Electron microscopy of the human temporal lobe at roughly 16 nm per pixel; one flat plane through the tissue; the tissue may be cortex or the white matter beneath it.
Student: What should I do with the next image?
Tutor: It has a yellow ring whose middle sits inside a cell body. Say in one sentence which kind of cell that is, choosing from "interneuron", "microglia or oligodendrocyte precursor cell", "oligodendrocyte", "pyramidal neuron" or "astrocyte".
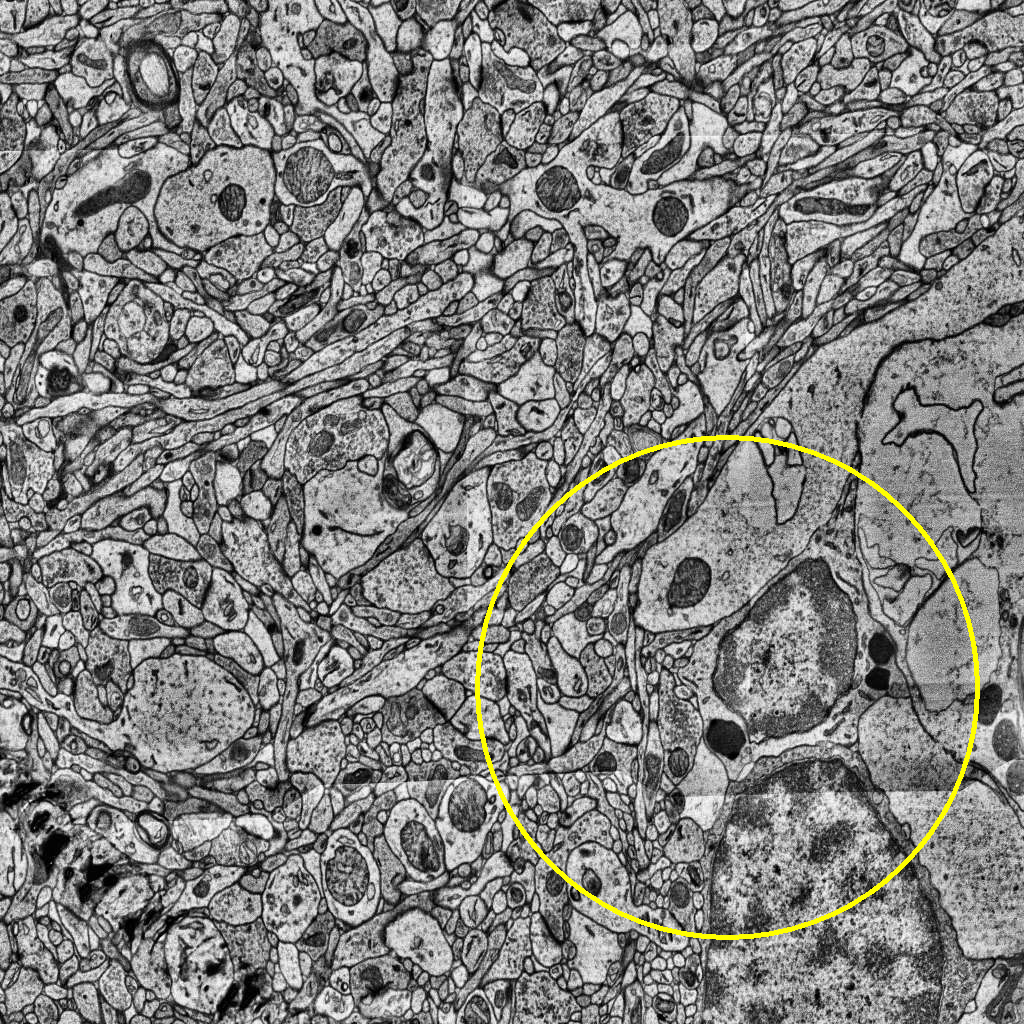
The ring's centre is occupied by a microglial cell or oligodendrocyte precursor cell.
